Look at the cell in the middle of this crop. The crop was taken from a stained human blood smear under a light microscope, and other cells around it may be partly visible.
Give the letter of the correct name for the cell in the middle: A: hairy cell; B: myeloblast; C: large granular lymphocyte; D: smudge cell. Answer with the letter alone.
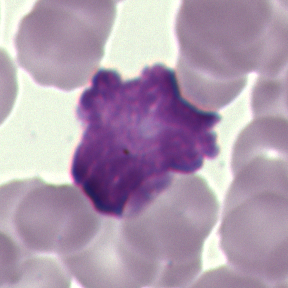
D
